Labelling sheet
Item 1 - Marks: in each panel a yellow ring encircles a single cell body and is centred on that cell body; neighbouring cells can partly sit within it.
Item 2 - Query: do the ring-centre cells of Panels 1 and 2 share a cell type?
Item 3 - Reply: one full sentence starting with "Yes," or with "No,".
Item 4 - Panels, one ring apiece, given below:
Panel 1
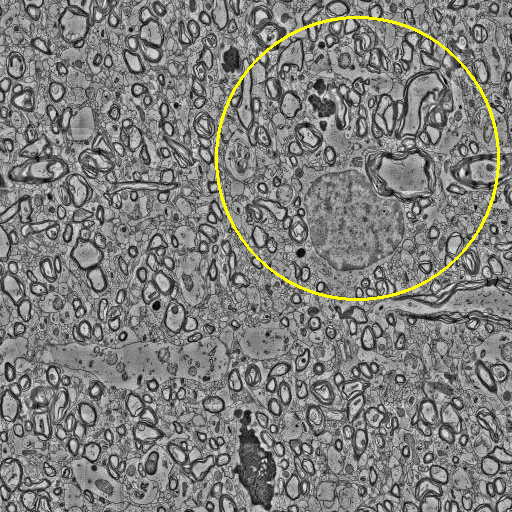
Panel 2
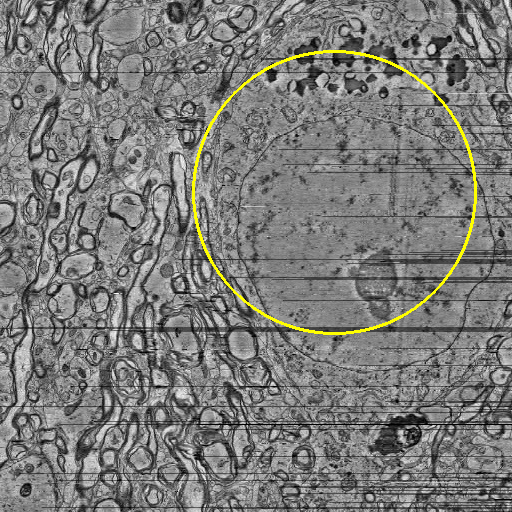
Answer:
No, Panel 1 and Panel 2 show two cell types at the centres of their rings.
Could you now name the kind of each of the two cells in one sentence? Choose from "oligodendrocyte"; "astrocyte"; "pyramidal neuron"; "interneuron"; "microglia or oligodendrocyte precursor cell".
The first ring encloses an oligodendrocyte; the second ring encloses a pyramidal neuron.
